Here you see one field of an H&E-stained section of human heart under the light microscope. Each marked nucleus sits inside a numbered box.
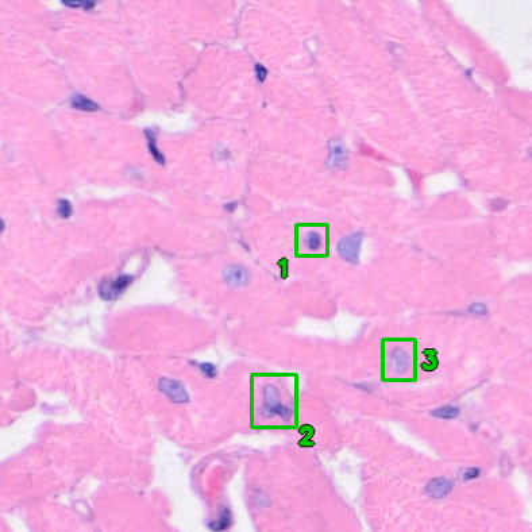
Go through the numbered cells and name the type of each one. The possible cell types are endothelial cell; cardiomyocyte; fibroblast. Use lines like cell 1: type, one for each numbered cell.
cell 1: endothelial cell
cell 2: cardiomyocyte
cell 3: cardiomyocyte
